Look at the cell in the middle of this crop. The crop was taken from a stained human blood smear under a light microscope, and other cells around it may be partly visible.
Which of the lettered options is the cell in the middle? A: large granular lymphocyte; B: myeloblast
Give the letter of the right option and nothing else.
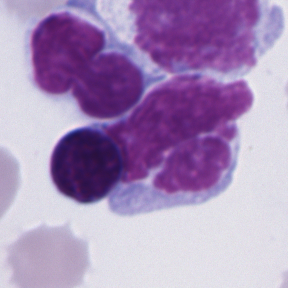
B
